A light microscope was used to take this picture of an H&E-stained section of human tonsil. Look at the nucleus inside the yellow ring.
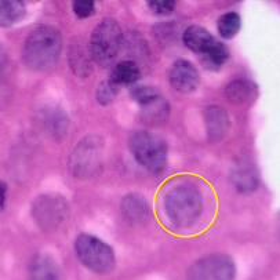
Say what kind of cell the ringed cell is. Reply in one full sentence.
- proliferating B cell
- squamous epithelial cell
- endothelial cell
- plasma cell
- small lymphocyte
In this preparation, the ringed cell is a squamous epithelial cell.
